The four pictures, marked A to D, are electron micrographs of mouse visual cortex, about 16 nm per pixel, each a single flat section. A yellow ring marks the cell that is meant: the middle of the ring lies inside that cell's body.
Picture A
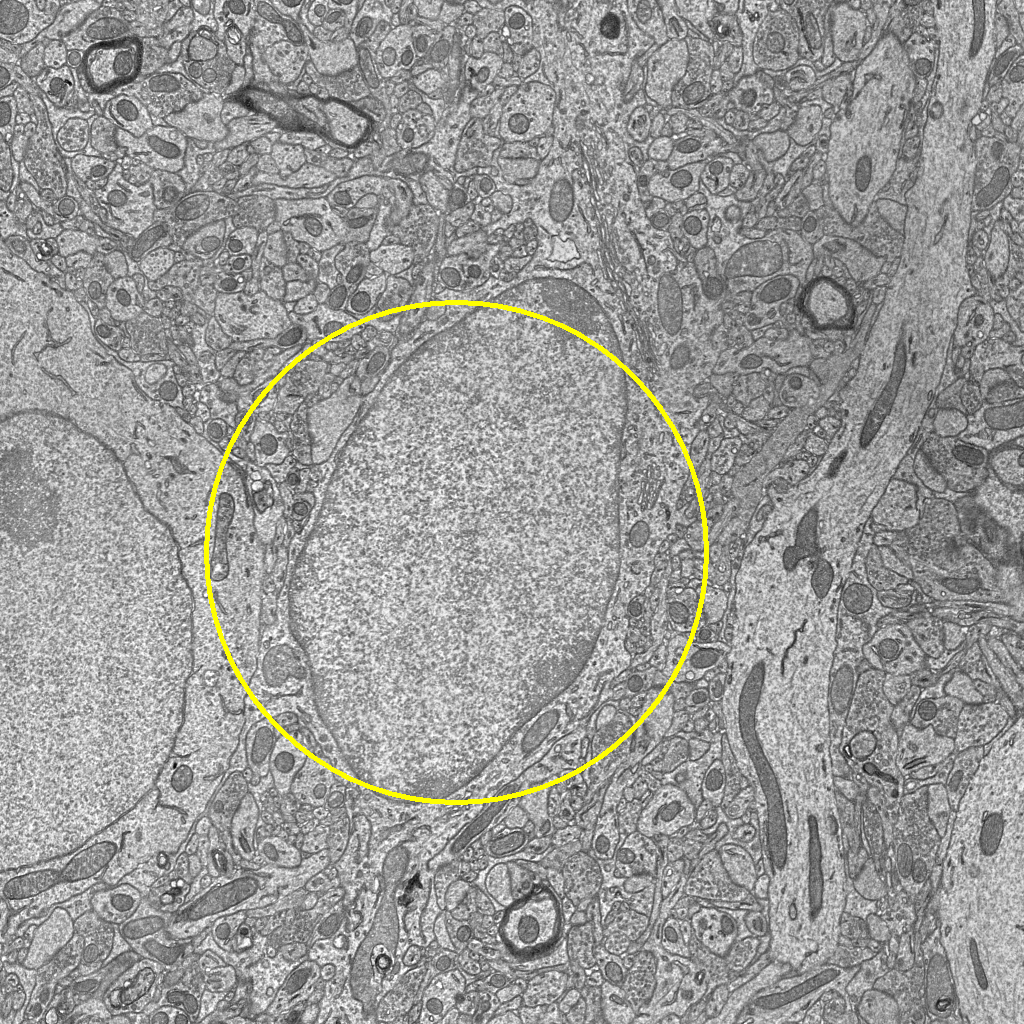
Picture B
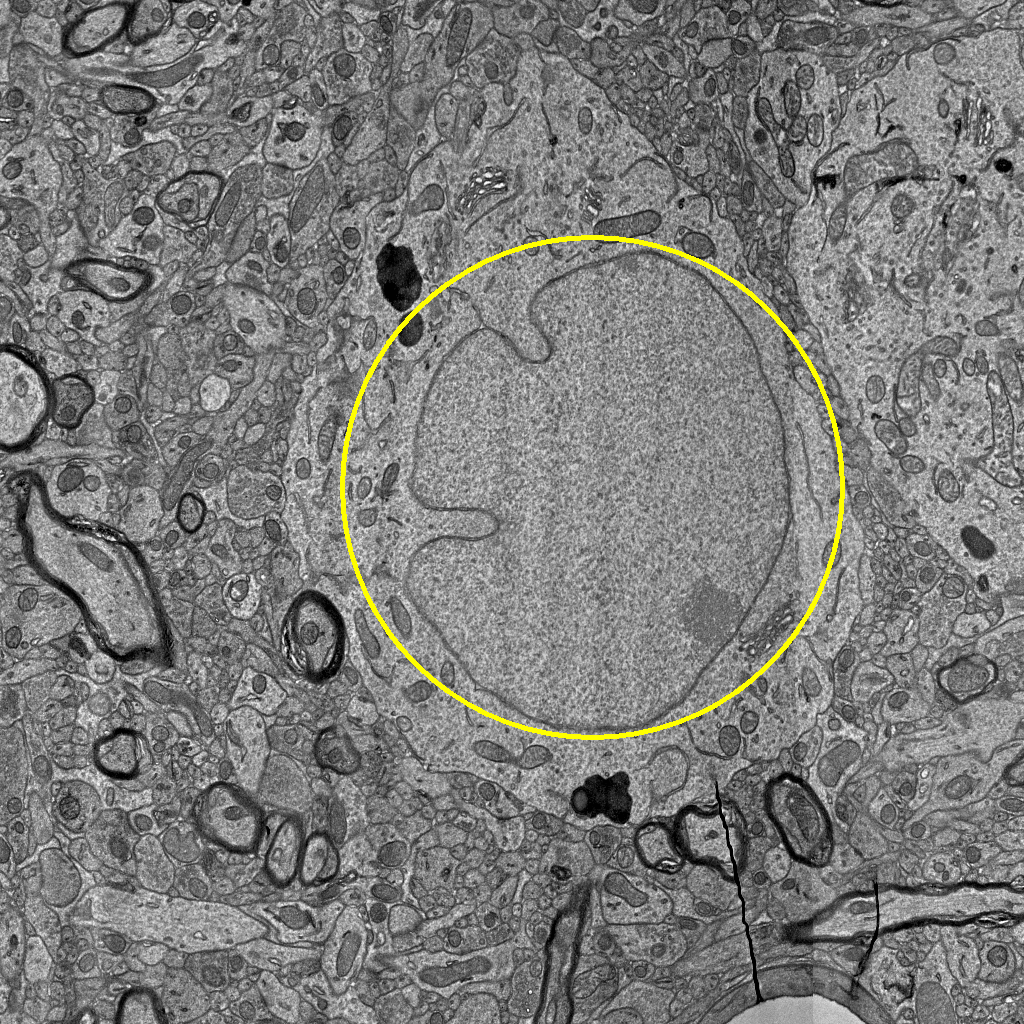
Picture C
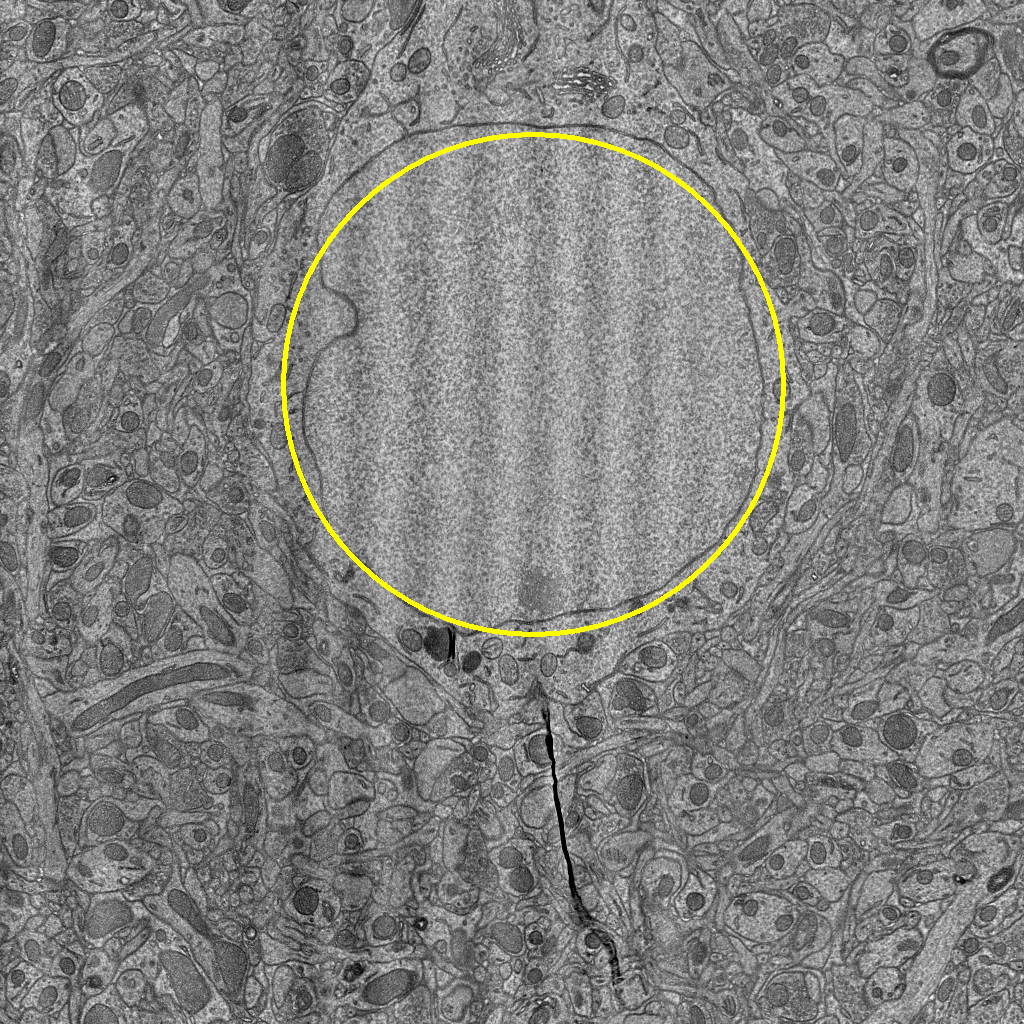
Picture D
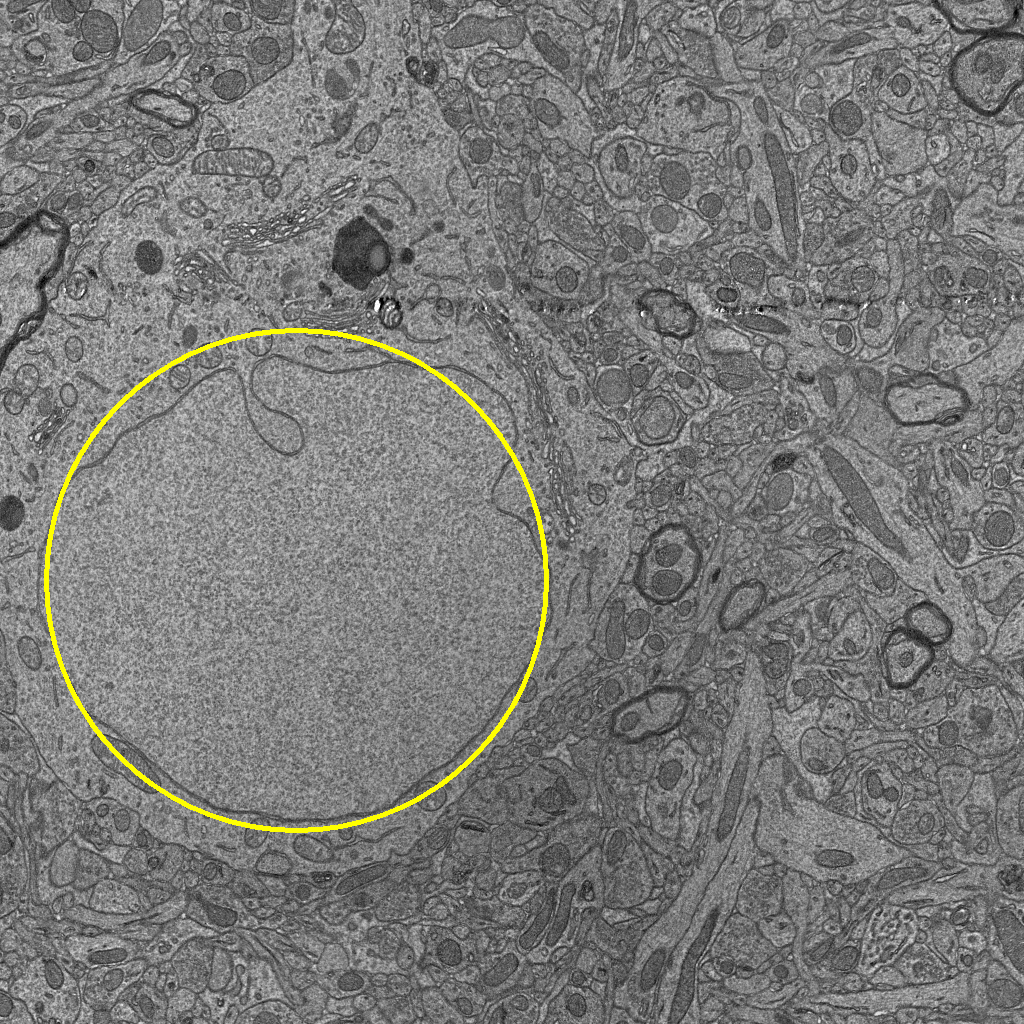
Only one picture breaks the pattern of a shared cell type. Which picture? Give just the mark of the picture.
A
